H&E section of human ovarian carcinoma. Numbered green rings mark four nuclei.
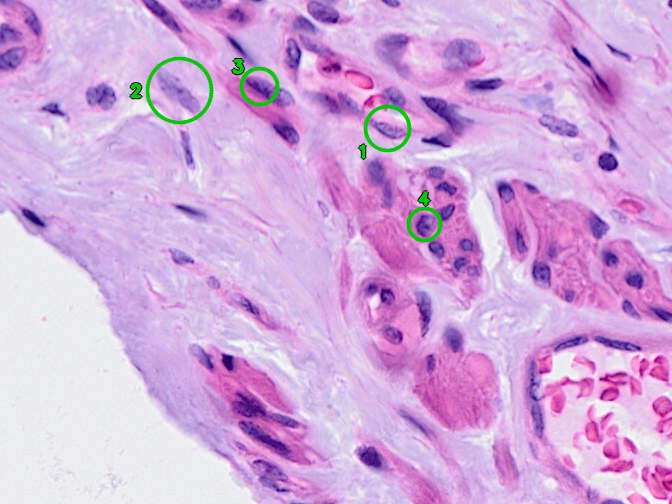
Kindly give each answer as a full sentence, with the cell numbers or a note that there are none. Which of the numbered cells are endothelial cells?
The cell bearing the number 1 is an endothelial cell, unlike the rest of the numbered cells.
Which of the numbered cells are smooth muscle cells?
Within the section, cells numbered 3 and 4 are smooth muscle cells.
